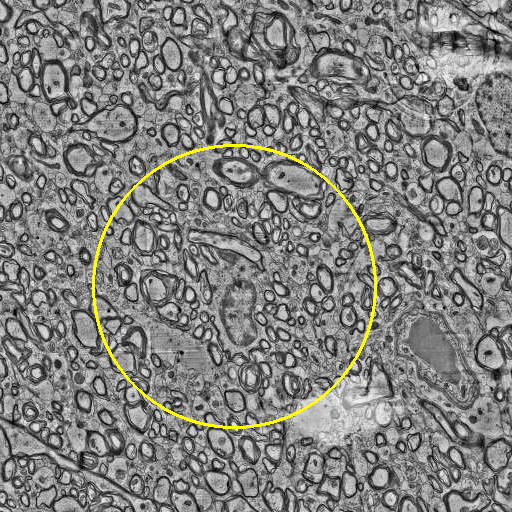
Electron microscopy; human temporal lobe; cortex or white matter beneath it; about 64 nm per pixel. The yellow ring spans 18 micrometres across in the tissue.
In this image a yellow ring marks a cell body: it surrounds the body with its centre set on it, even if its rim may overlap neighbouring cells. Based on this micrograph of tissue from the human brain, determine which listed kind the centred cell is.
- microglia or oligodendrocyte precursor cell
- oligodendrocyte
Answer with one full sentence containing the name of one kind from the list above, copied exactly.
It is an oligodendrocyte whose body the yellow ring encloses at its centre.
